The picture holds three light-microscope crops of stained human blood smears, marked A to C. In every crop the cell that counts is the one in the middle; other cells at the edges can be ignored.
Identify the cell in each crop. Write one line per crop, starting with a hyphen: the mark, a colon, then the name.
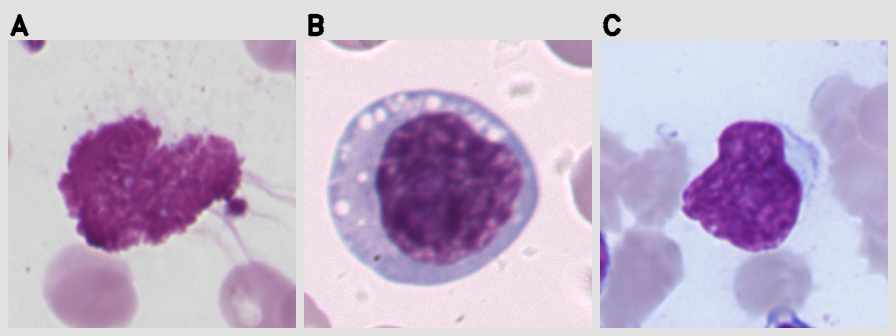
- A: smudge cell
- B: myeloblast
- C: myeloblast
